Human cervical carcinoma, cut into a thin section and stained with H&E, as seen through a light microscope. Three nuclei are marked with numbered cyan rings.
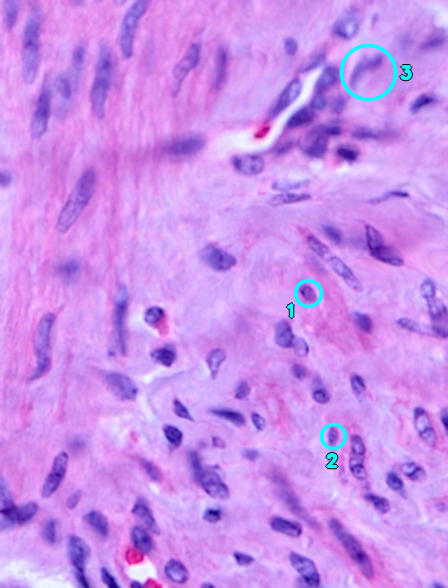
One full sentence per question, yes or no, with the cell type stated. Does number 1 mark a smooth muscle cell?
Yes, it is a smooth muscle cell that number 1 identifies.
